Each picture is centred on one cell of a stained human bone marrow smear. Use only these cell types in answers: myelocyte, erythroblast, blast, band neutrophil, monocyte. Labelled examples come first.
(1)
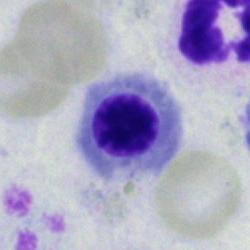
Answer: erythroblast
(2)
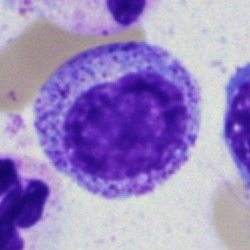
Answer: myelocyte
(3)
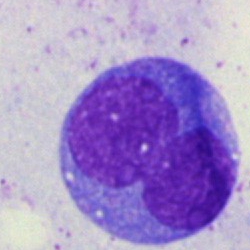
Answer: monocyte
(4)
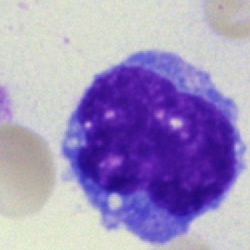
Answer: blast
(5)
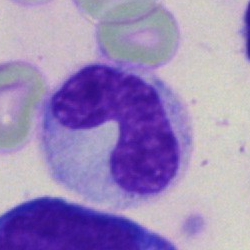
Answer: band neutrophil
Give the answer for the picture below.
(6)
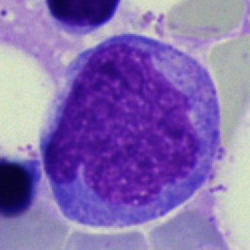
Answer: monocyte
